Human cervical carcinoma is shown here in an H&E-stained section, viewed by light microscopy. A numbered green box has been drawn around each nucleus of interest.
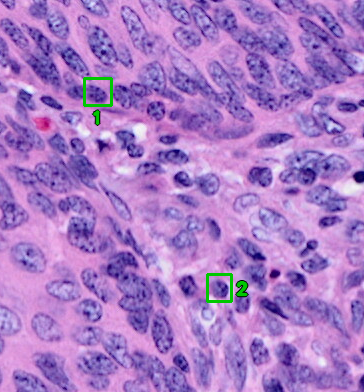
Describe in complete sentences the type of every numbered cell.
Cell 1 is a squamous carcinoma cell. Cell 2 is a lymphocyte.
